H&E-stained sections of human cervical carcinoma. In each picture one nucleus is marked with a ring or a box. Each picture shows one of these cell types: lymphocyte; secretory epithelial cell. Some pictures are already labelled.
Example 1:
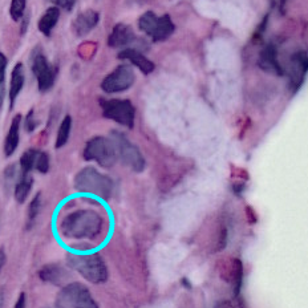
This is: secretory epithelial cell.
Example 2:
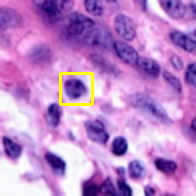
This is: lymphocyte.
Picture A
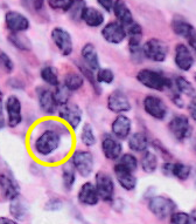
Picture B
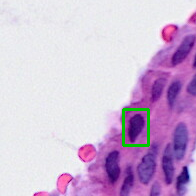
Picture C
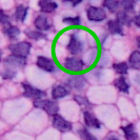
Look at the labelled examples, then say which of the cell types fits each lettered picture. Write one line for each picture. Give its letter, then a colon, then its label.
A: lymphocyte.
B: secretory epithelial cell.
C: secretory epithelial cell.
